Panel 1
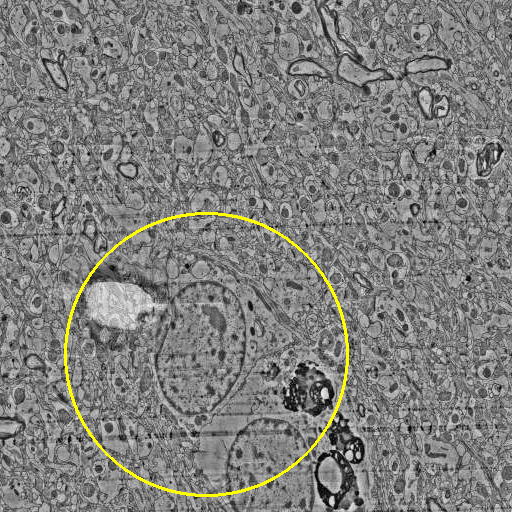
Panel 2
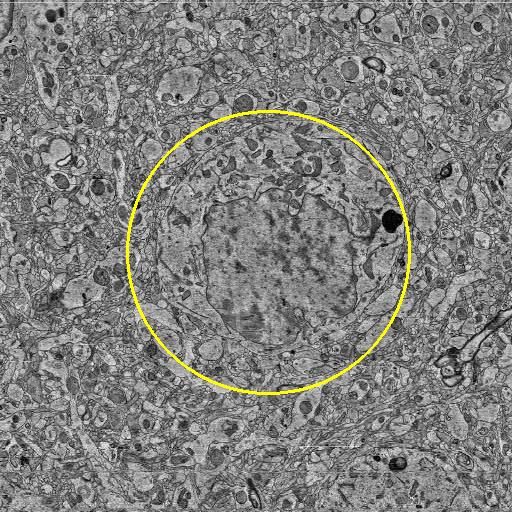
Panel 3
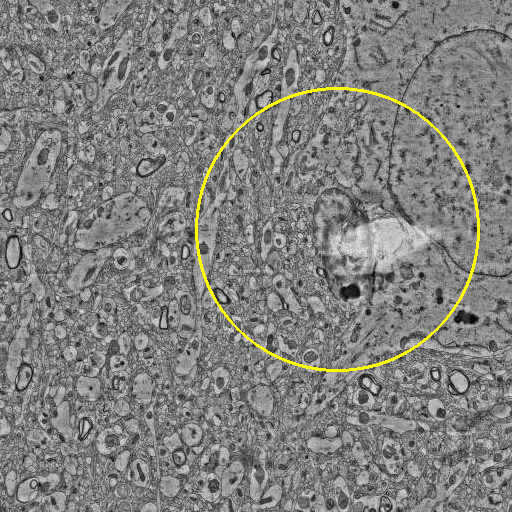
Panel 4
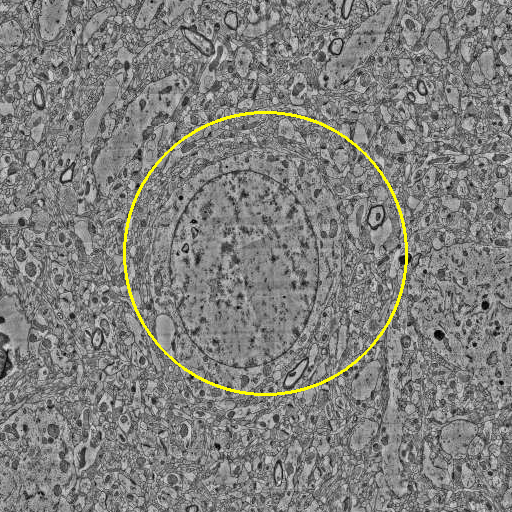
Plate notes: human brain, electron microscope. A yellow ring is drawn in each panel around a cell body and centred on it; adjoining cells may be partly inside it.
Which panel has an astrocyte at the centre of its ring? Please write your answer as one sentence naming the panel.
The ring in Panel 1 is centred on such a cell.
